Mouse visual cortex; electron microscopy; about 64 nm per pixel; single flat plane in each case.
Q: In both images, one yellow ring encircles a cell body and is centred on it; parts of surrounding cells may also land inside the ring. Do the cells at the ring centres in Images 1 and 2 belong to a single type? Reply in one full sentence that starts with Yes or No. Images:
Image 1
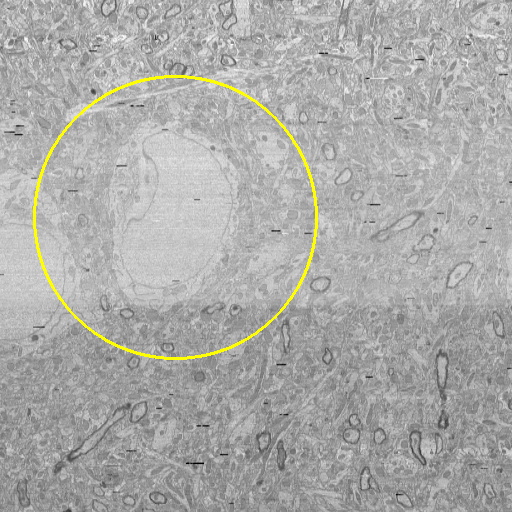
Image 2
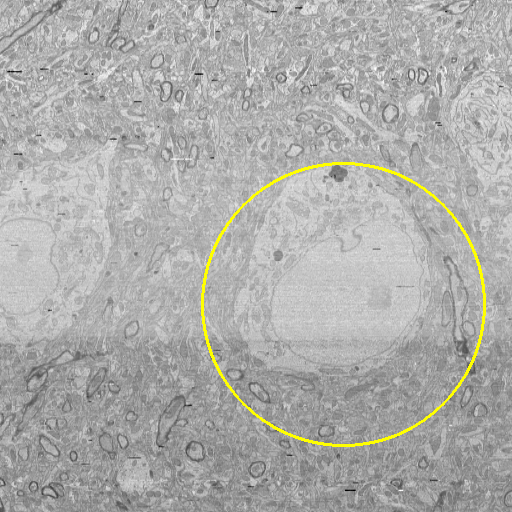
Yes, the cells at the ring centres in Images 1 and 2 are of a single type.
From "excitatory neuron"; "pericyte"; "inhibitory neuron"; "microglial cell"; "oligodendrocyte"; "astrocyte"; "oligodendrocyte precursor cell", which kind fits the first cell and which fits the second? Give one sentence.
Each of the two rings surrounds an excitatory neuron.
